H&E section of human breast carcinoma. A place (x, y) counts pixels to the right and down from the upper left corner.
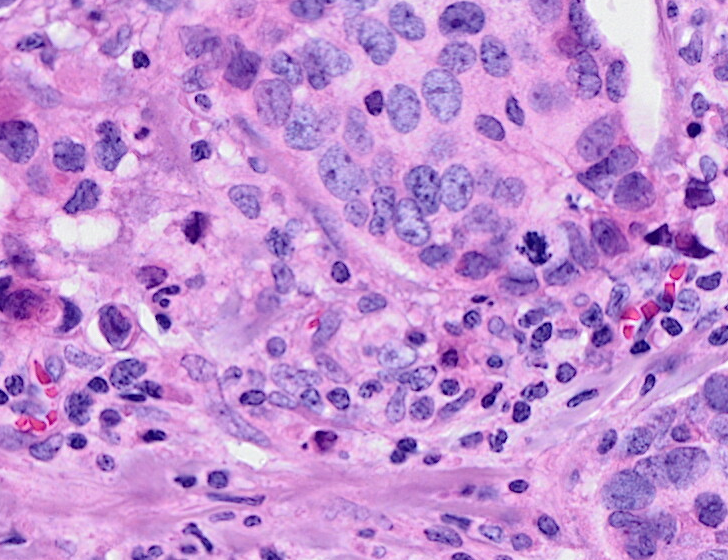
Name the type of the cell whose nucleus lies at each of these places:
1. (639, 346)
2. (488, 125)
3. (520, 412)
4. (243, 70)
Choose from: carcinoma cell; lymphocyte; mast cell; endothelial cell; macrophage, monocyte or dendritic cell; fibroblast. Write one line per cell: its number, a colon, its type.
1: lymphocyte
2: carcinoma cell
3: lymphocyte
4: carcinoma cell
